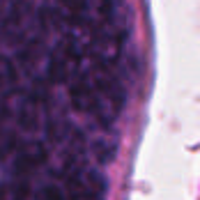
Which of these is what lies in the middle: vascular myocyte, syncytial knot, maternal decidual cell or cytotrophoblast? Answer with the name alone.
syncytial knot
